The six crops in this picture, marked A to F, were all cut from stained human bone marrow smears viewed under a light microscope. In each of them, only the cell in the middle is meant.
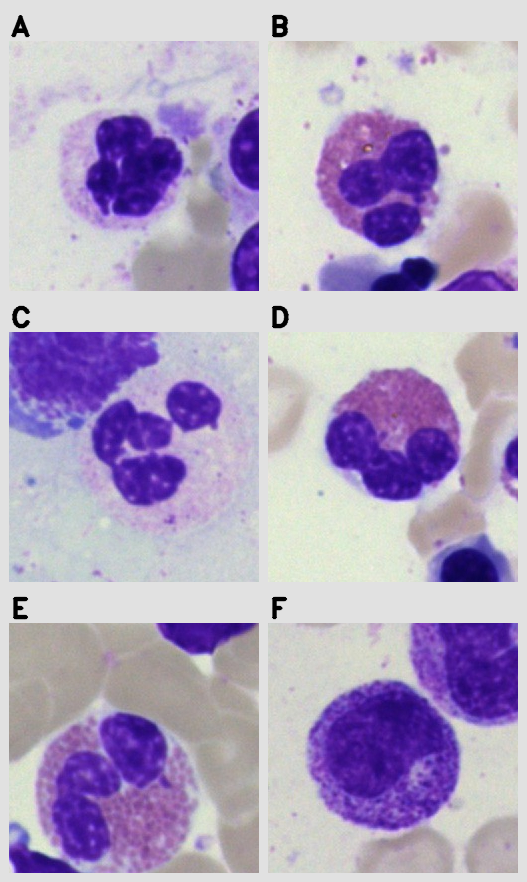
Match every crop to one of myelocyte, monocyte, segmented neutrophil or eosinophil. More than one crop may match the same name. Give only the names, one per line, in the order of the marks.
segmented neutrophil
eosinophil
segmented neutrophil
eosinophil
eosinophil
myelocyte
